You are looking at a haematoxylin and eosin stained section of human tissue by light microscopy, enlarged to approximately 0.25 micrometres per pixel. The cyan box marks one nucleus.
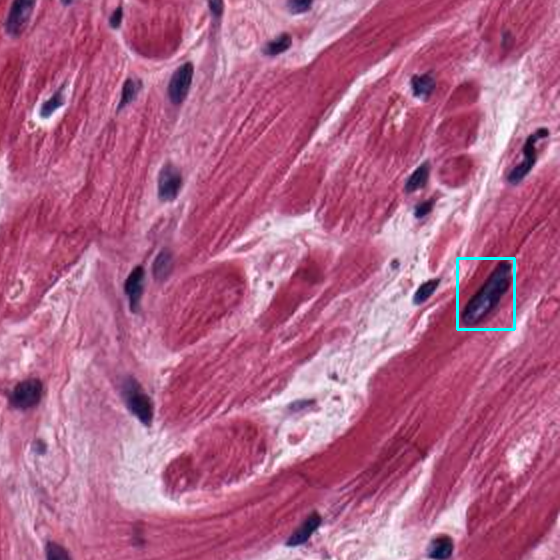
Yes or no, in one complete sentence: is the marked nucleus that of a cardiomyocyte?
Yes, the marked nucleus is located in a cardiomyocyte.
